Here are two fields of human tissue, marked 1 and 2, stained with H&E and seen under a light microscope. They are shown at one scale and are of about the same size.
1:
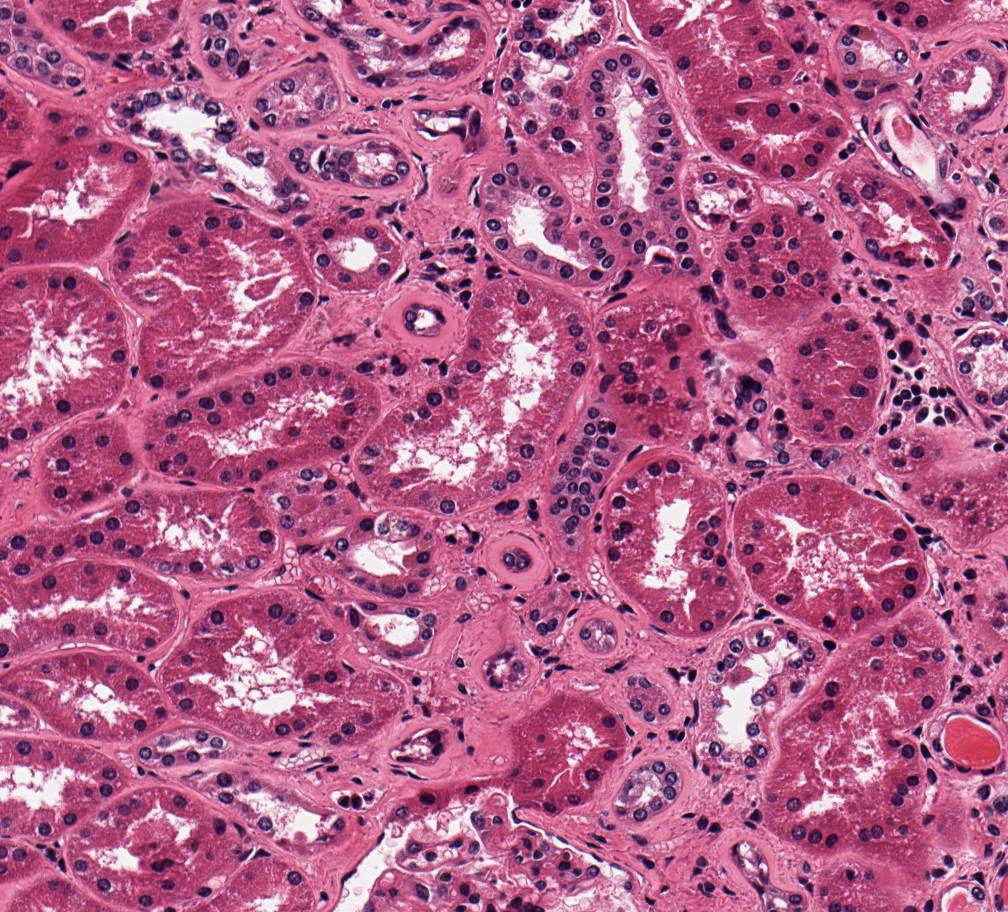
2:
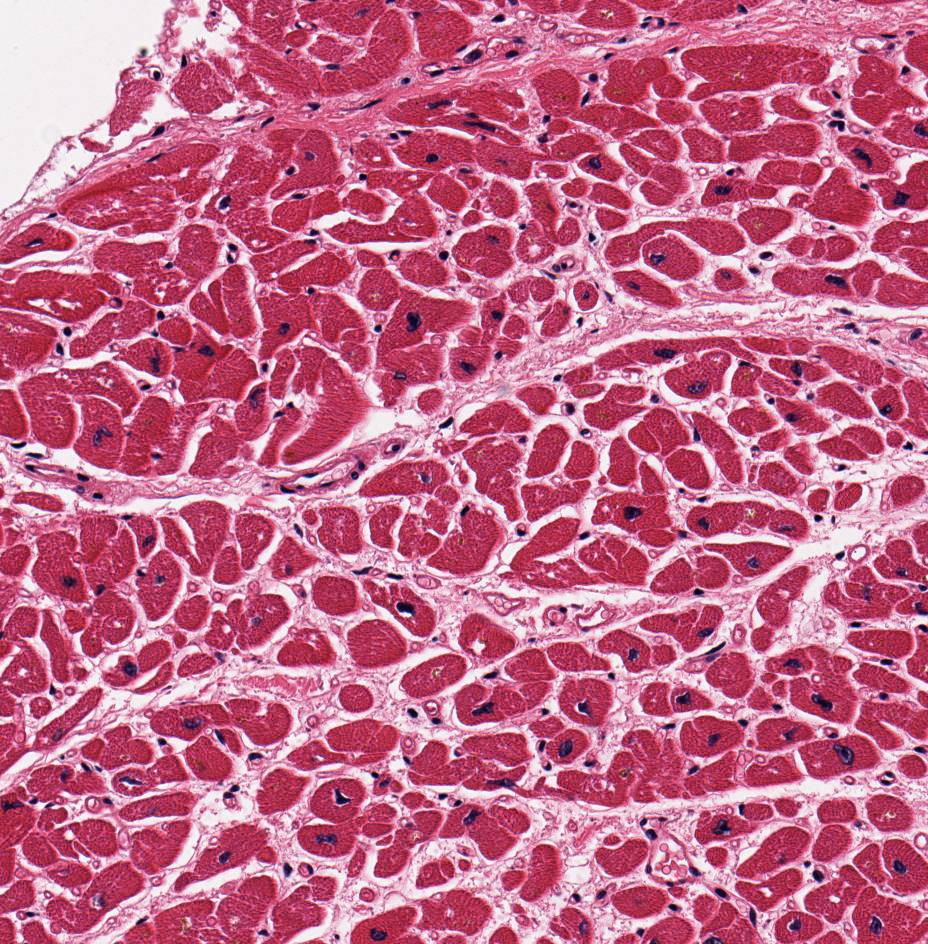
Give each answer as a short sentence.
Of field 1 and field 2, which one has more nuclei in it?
The larger number of nuclei is in field 1.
